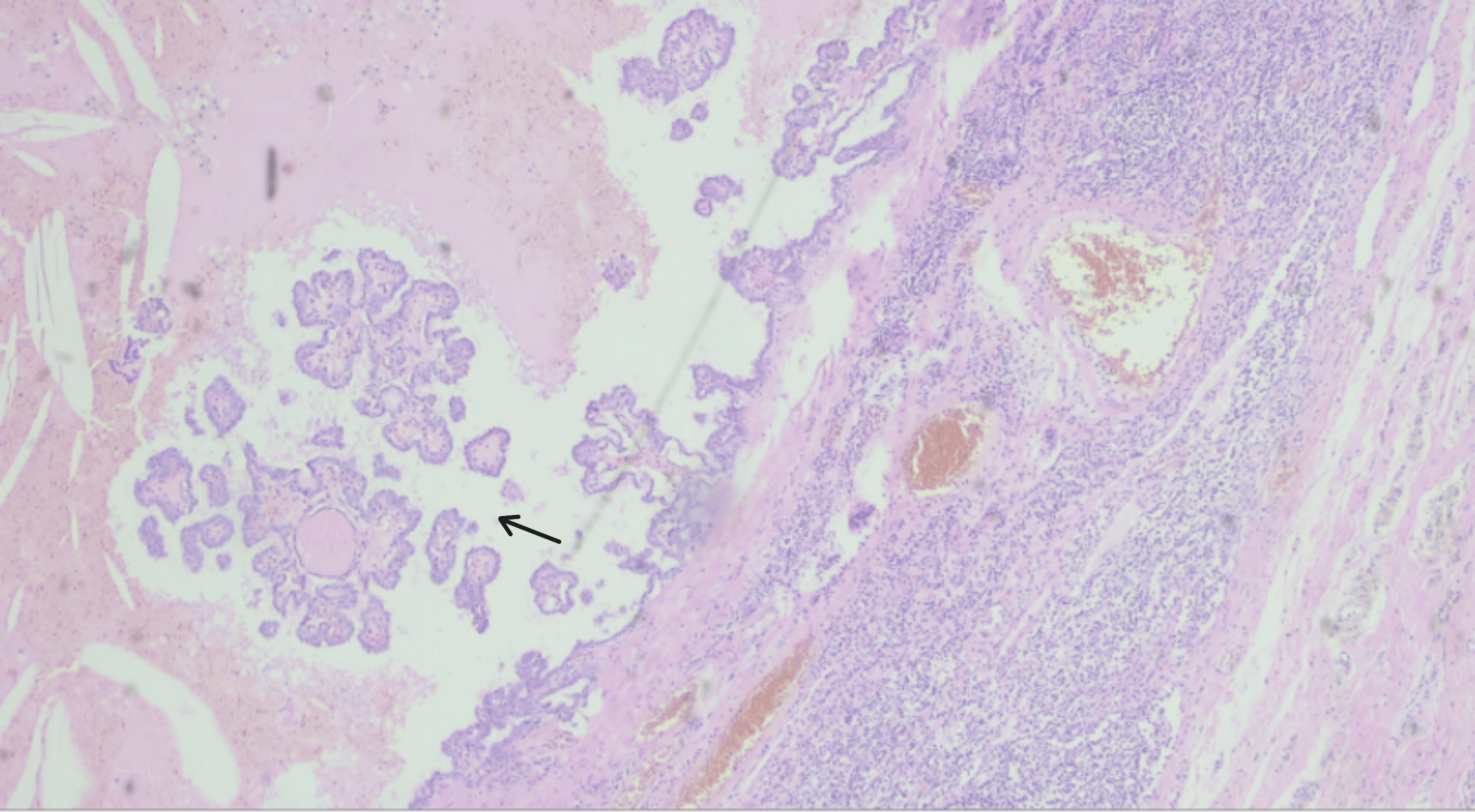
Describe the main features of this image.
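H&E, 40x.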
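This is a cyst whose lumen holds branching papillary fronds. The fronds have pale cores covered by purple epithelial cells, and similar projections grow from the cyst lining. Pink proteinaceous material with needle-shaped clear clefts fills the left side. The cyst wall on the right has a dense infiltrate of small dark blue cells and blood-filled vessels.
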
